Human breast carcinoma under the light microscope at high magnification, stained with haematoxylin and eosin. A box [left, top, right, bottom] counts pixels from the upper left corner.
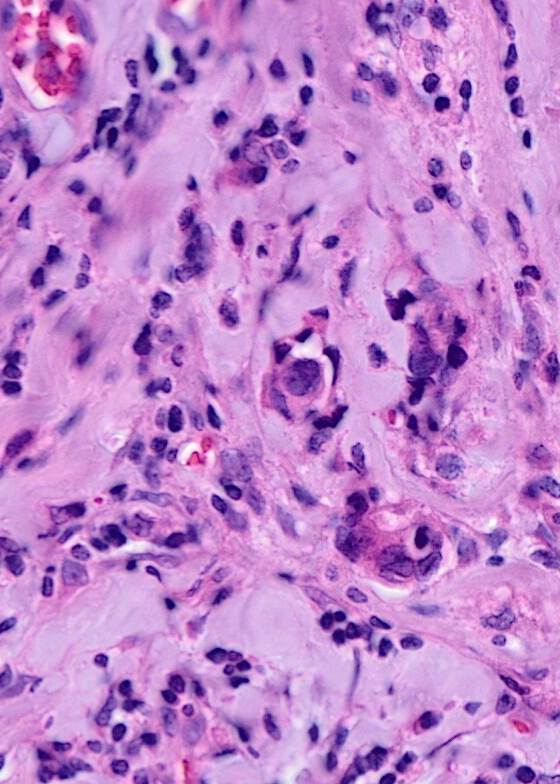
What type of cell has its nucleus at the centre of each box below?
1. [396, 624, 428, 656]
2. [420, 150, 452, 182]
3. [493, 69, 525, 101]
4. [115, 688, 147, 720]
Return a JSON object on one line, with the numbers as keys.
{"1": "lymphocyte", "2": "mast cell", "3": "lymphocyte", "4": "lymphocyte"}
